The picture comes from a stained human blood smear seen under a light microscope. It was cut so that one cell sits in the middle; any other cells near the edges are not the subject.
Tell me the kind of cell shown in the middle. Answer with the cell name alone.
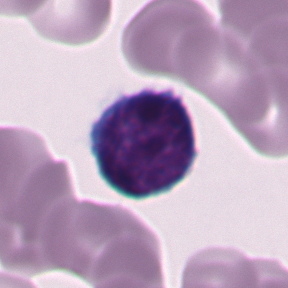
typical lymphocyte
